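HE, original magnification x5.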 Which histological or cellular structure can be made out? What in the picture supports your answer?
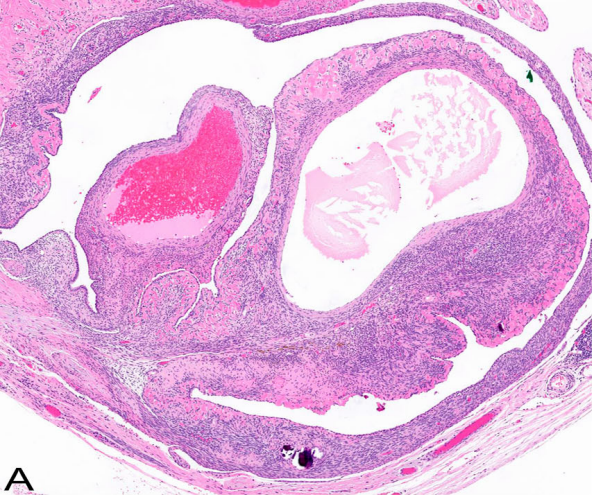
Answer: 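Cystic and solid components. Several large spaces containing pink fluid or blood are present. Cellular purple tissue forms thick walls and solid areas around the spaces.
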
